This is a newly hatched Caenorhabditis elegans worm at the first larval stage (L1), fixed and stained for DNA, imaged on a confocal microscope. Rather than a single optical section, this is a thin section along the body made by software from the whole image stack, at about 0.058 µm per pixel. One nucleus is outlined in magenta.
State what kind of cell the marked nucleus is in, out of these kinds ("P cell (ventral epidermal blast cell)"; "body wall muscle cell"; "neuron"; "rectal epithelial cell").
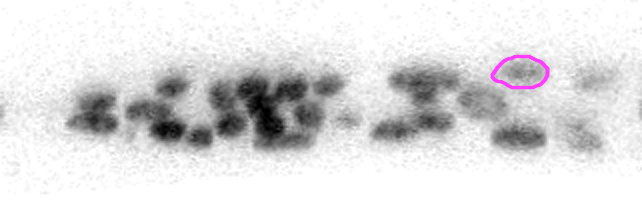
P cell (ventral epidermal blast cell)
